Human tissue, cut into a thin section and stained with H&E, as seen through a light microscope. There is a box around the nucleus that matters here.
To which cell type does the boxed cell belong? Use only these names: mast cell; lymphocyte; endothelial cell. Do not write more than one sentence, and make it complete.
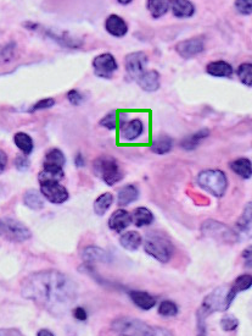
In the tissue at hand, the boxed cell is a lymphocyte.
